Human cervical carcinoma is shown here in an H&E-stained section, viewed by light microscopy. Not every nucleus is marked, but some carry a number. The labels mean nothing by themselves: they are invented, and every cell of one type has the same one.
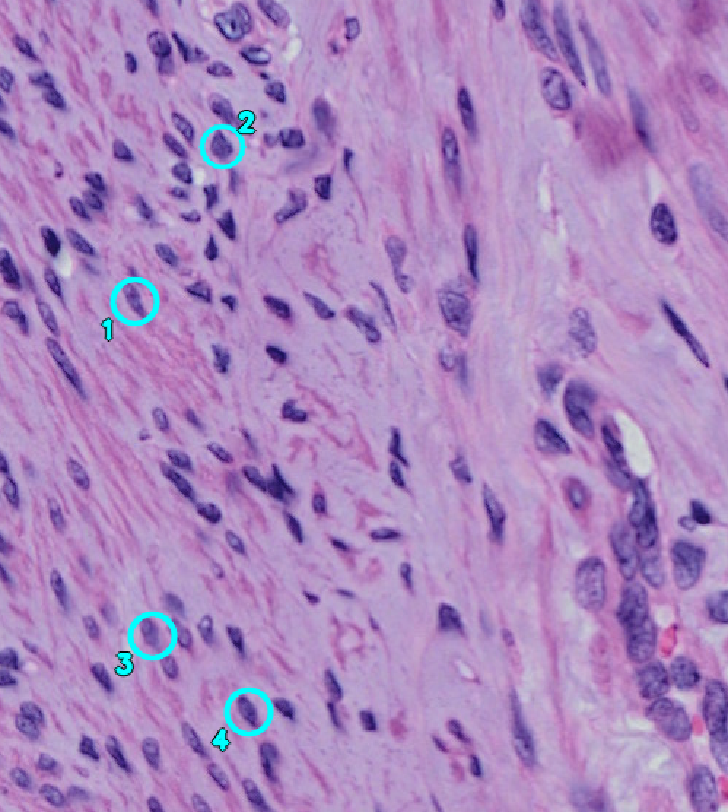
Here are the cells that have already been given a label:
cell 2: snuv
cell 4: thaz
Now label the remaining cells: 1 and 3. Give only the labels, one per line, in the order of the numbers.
thaz
thaz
